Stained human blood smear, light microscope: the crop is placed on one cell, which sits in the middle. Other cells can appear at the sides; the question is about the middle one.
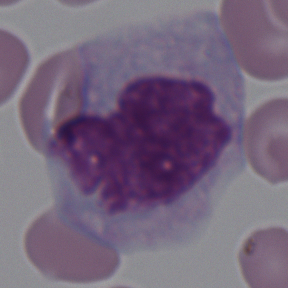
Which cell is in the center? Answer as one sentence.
The cell of interest, in the center, is a monocyte.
